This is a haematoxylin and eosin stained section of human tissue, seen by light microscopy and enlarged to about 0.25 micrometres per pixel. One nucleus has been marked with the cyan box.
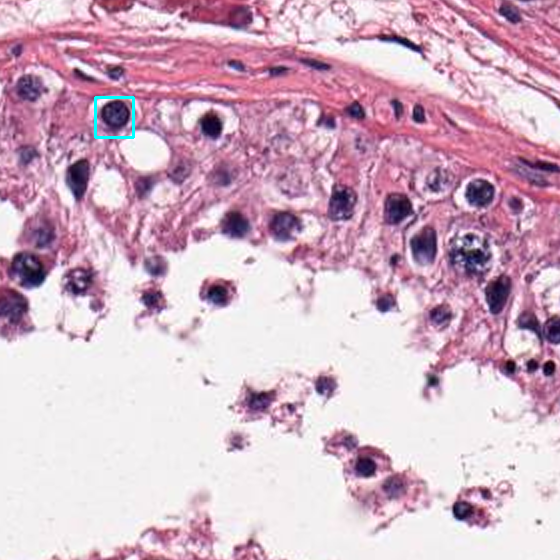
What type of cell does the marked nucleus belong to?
spermatogonium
